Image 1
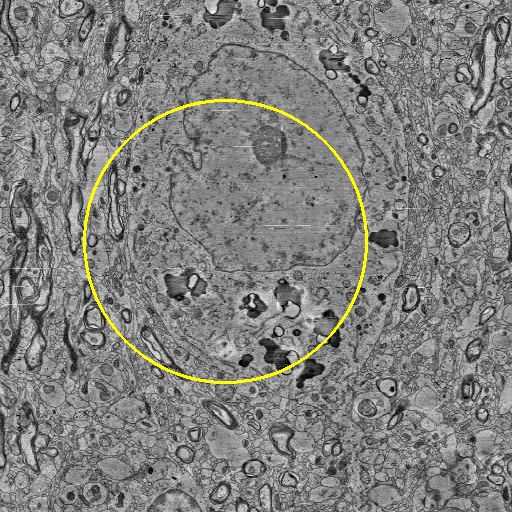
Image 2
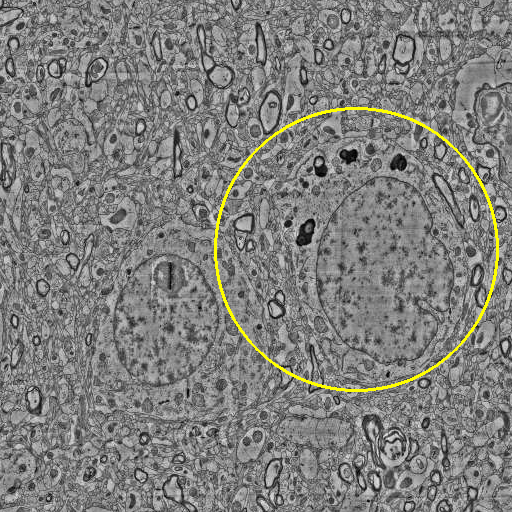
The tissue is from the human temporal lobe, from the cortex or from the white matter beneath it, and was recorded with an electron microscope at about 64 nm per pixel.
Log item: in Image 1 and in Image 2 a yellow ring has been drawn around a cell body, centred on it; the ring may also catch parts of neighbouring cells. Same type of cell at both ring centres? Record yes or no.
yes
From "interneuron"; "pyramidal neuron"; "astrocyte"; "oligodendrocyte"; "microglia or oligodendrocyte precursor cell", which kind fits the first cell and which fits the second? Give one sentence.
Each one of the two ringed cells is a pyramidal neuron.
